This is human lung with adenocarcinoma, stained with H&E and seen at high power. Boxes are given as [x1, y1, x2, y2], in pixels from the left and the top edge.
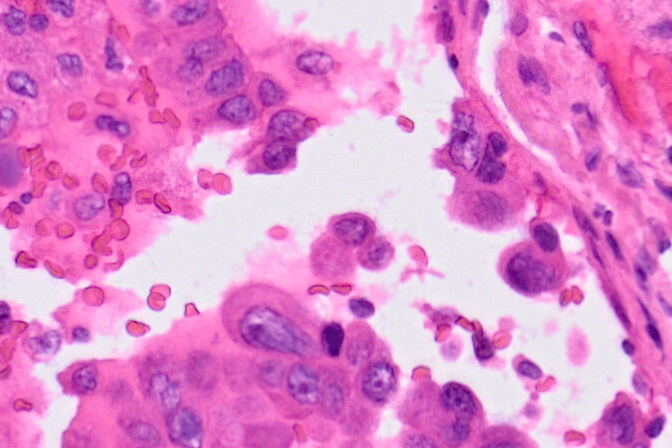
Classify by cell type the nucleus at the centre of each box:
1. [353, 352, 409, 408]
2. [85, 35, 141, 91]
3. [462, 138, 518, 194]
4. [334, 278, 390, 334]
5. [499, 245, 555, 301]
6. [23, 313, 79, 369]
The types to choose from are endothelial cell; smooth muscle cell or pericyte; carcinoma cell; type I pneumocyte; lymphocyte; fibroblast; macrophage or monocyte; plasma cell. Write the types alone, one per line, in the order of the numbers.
carcinoma cell
macrophage or monocyte
carcinoma cell
lymphocyte
carcinoma cell
macrophage or monocyte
